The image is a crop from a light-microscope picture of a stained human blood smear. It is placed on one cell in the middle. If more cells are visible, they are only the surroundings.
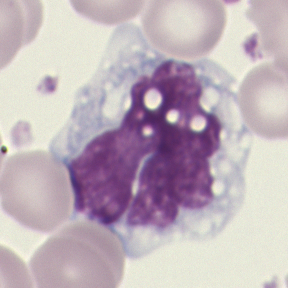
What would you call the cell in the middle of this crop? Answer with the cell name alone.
monocyte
